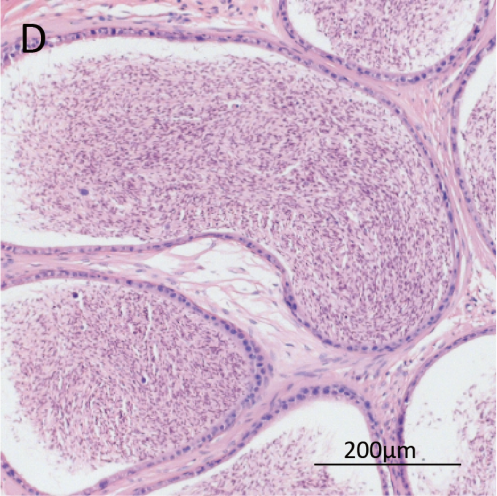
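Ducts of the cauda epididymis are cut in section, each lined by a thin epithelium with a row of dark purple nuclei. The wide lumens are densely packed with a mass of sperm, appearing as fine purple and pink streaks. Between the ducts lies pink connective tissue with scattered elongated nuclei and thin layers of smooth muscle around each duct.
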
